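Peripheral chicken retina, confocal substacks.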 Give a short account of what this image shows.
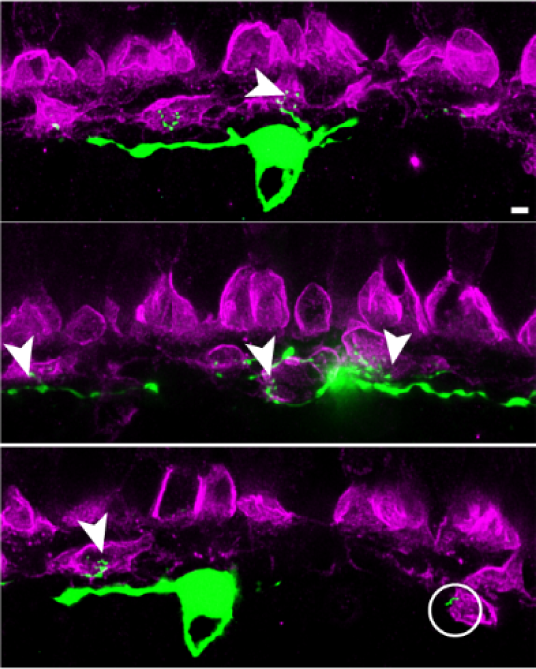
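These are higher-magnification views of the outer plexiform layer showing a green horizontal cell below a row of magenta photoreceptor terminals. The horizontal cell soma and its thick horizontal processes lie beneath the terminals, and thin dendrites rise from them. The dendrites end in small dotted clusters pressed against some of the magenta rounded terminals, while many neighbouring terminals have no green contact.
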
